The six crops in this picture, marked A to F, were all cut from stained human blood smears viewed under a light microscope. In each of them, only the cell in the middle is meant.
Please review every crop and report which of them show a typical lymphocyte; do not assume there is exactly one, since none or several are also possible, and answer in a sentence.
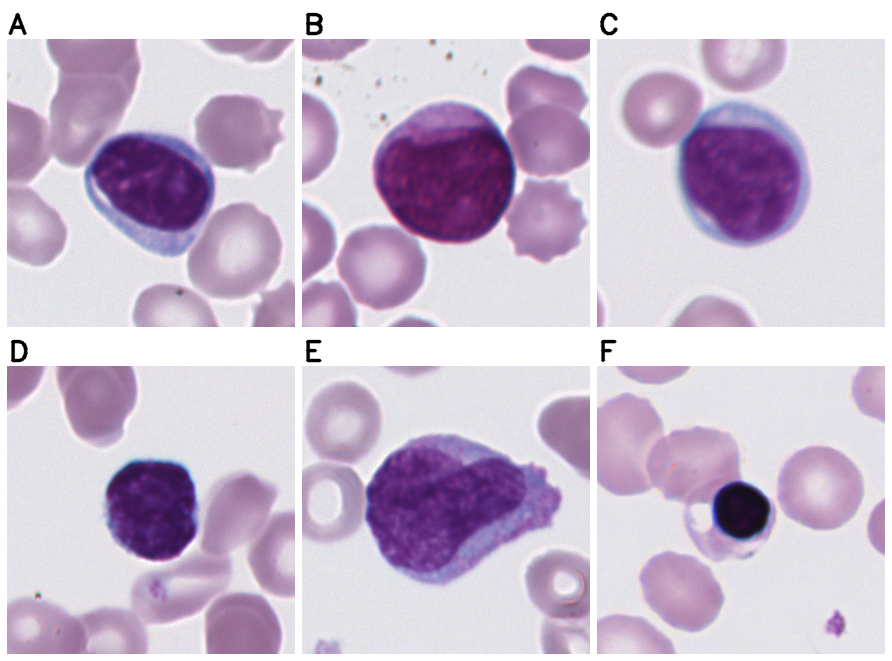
What crops A, C and D show in the middle are typical lymphocytes.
